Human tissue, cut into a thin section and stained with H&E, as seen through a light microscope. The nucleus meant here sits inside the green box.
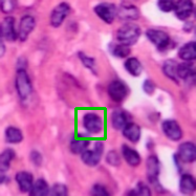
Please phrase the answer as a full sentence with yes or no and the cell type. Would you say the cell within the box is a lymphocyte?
Yes, regarding cell type, the cell within the box is a lymphocyte.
